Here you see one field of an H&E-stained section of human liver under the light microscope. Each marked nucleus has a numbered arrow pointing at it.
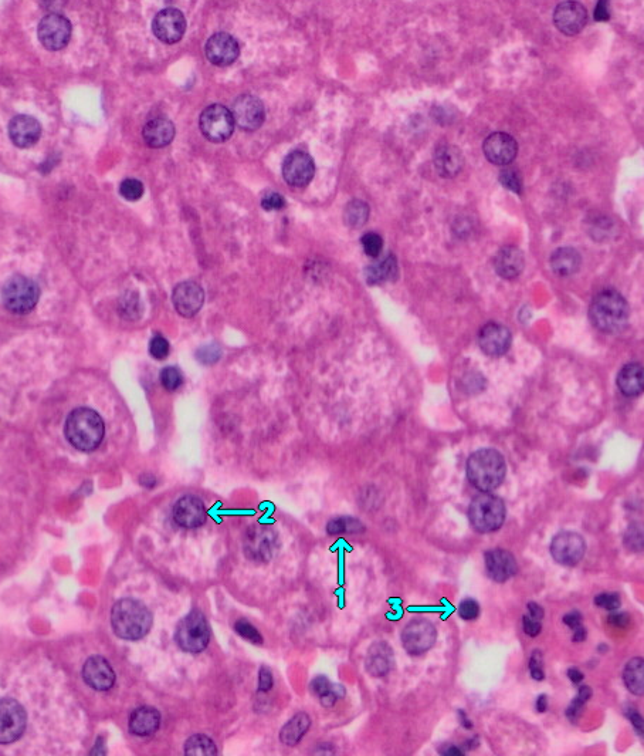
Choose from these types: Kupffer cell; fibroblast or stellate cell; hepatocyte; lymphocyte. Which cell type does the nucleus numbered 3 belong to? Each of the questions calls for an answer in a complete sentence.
Regarding cell 3, this one is a lymphocyte.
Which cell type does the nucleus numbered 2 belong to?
The cell to which the number 2 is assigned is a hepatocyte.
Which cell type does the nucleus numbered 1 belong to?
Cell 1 is classified as a Kupffer cell.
